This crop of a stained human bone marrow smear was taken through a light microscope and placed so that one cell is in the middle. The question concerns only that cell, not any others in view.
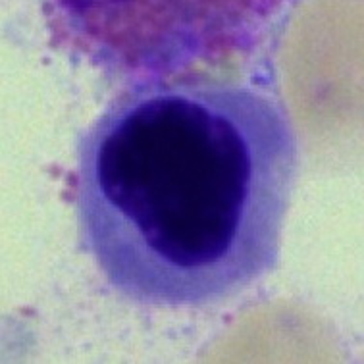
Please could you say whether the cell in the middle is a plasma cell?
no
